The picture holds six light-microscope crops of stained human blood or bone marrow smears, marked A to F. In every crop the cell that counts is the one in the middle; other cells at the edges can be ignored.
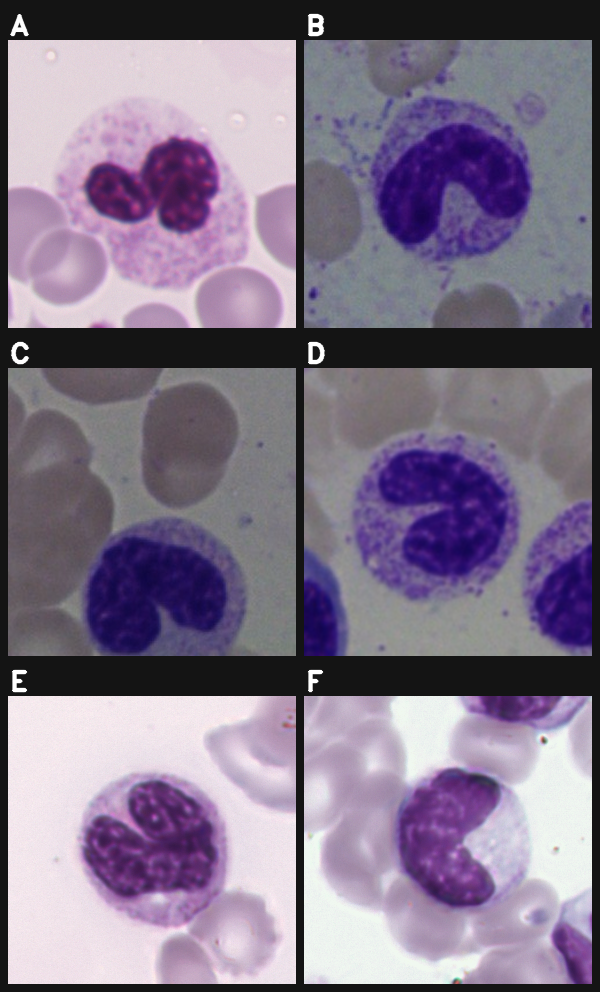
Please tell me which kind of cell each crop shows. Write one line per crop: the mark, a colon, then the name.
A: segmented neutrophil
B: band neutrophil
C: metamyelocyte
D: band neutrophil
E: band neutrophil
F: metamyelocyte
